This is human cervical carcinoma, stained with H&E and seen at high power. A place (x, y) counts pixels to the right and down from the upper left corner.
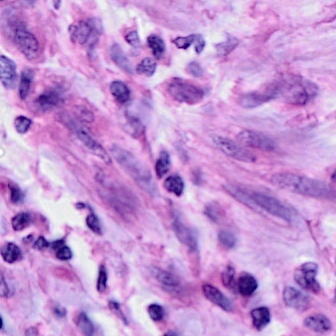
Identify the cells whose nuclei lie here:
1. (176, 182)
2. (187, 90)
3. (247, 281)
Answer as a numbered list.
1. lymphocyte
2. macrophage or monocyte
3. lymphocyte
